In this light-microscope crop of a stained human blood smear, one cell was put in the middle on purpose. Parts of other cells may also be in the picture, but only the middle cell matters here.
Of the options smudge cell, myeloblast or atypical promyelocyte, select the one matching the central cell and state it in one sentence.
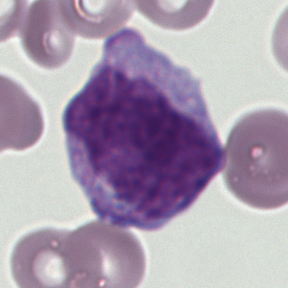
The centrally placed cell is classified as an atypical promyelocyte.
